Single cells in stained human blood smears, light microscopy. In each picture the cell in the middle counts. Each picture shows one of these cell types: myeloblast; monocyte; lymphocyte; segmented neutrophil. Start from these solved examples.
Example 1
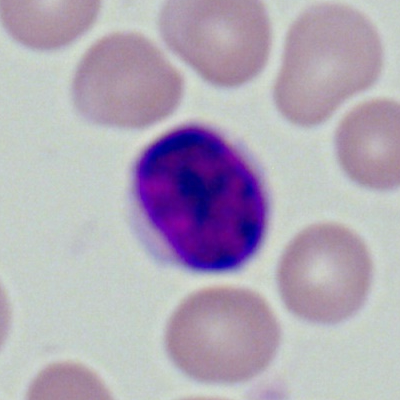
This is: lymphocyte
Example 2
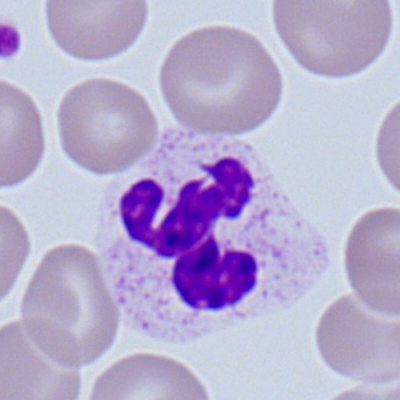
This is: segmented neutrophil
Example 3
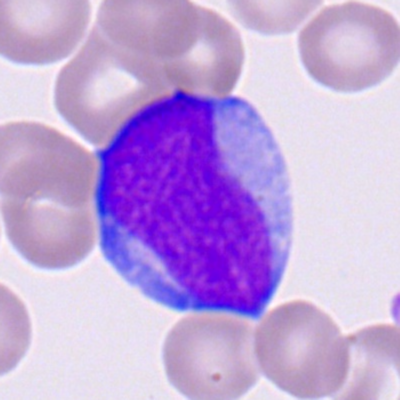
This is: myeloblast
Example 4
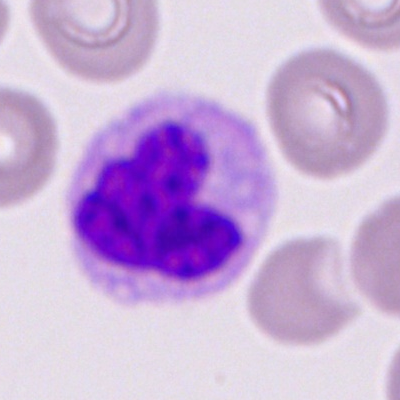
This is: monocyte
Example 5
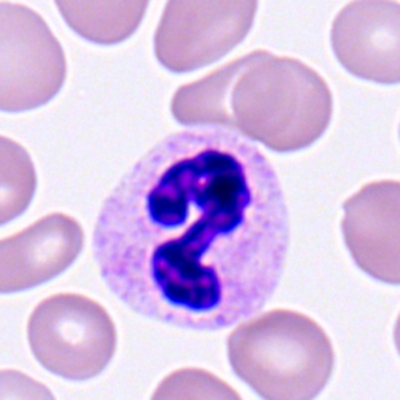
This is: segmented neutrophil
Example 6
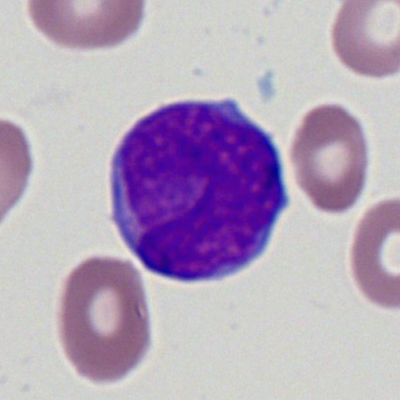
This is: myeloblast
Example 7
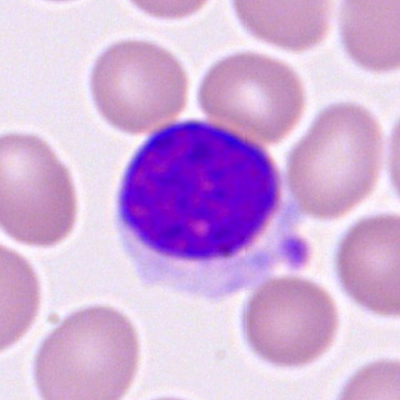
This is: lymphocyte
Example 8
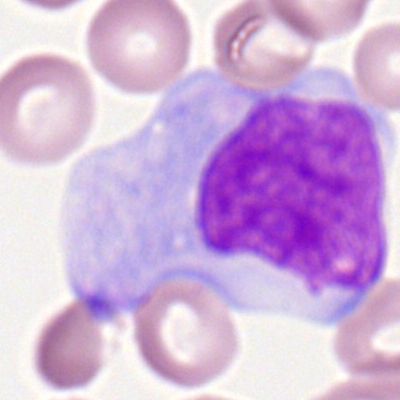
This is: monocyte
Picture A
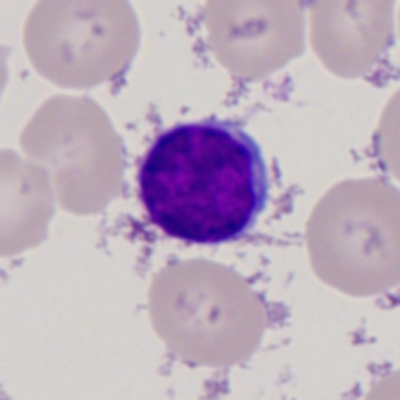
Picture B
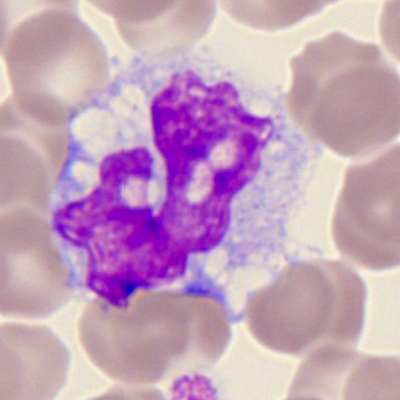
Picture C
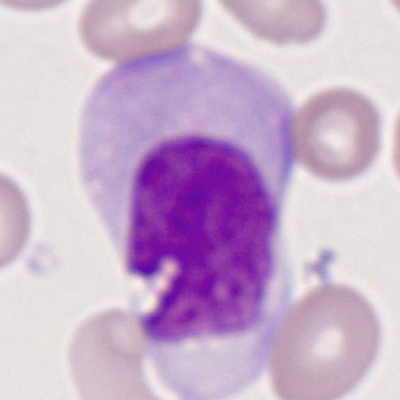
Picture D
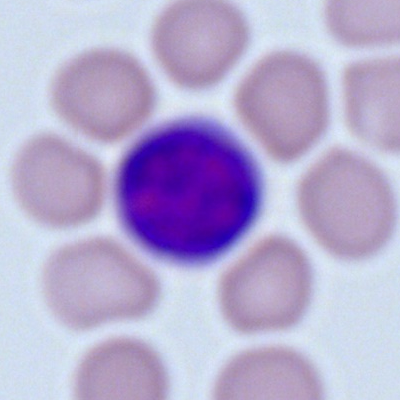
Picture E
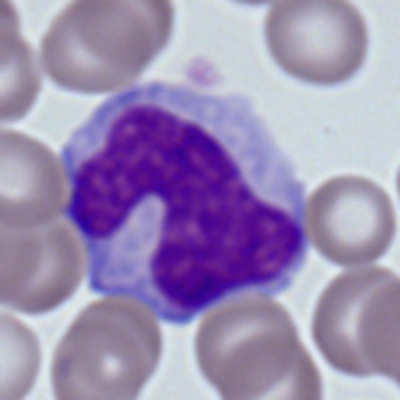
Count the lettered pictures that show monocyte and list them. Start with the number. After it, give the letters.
3, namely B, C, E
